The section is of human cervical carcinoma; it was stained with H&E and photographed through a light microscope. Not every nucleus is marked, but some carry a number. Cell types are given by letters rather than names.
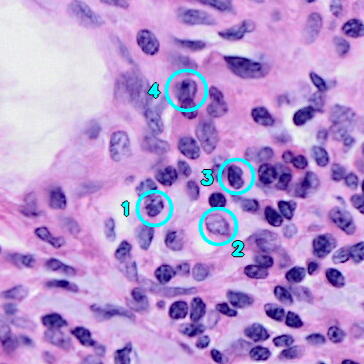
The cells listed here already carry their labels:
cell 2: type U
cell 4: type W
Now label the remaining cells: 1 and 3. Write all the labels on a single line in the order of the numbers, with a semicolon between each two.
type W; type W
